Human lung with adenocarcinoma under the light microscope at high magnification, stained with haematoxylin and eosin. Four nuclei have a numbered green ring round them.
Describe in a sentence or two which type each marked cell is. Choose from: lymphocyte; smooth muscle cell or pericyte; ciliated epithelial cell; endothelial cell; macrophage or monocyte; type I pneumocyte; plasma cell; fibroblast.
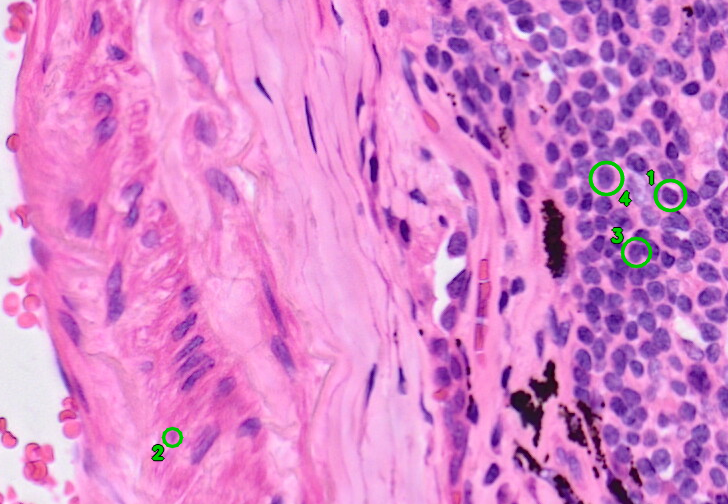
Cell 1 is a lymphocyte, cell 2 is a smooth muscle cell or pericyte, cell 3 is a lymphocyte and cell 4 is a lymphocyte.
